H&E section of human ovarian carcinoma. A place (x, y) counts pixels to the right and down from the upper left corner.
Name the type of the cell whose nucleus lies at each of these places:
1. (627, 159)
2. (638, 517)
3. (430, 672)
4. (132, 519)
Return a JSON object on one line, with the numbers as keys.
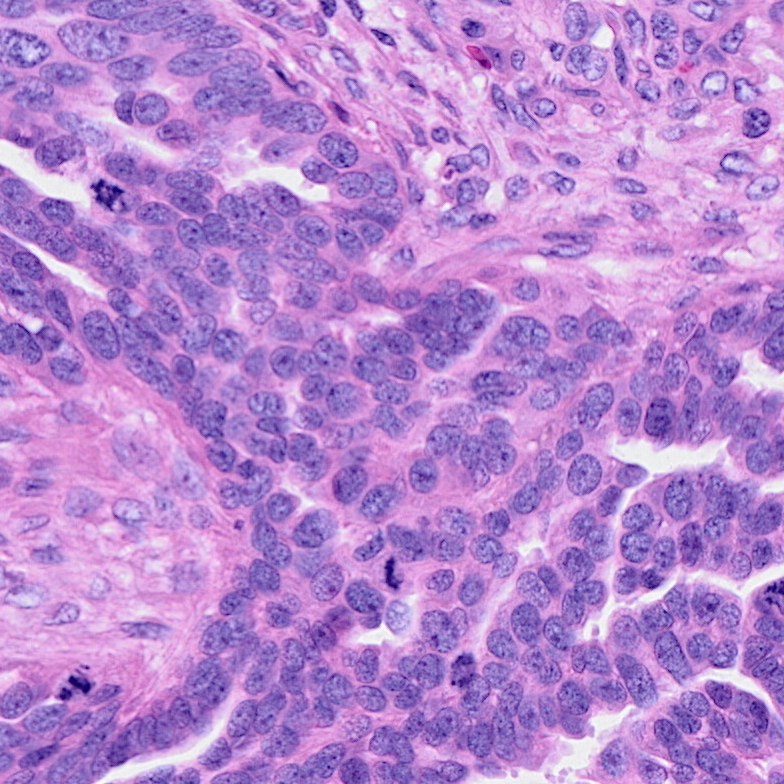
{"1": "fibroblast", "2": "carcinoma cell", "3": "carcinoma cell", "4": "fibroblast"}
